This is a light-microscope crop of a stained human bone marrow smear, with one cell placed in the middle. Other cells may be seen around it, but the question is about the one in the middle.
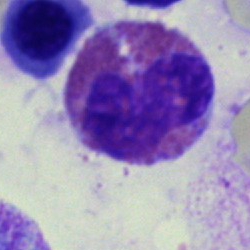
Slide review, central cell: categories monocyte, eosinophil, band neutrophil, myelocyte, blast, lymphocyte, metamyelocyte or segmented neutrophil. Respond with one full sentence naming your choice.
The central element of this crop is a cell, namely an eosinophil.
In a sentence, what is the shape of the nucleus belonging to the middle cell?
You can count two or more lobes in this nucleus.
